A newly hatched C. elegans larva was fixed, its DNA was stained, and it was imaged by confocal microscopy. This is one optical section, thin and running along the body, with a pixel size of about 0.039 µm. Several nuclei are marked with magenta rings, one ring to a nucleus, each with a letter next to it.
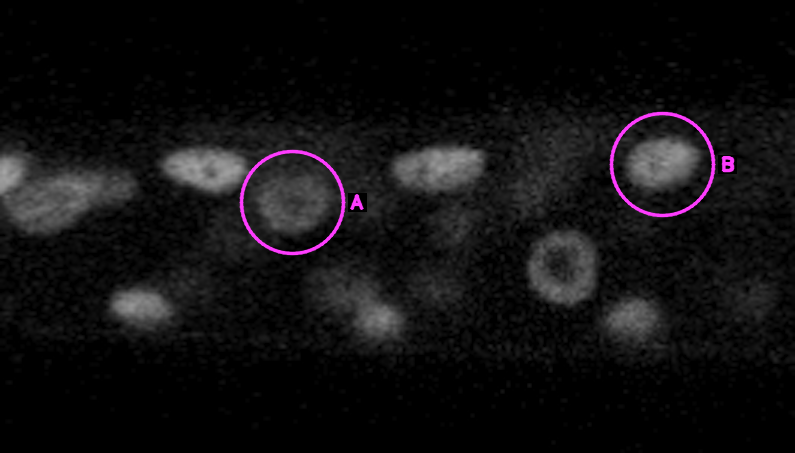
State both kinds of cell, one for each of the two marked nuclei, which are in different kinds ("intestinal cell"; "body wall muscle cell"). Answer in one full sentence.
One is from an intestinal cell, namely A, and the other, B, is from a body wall muscle cell.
